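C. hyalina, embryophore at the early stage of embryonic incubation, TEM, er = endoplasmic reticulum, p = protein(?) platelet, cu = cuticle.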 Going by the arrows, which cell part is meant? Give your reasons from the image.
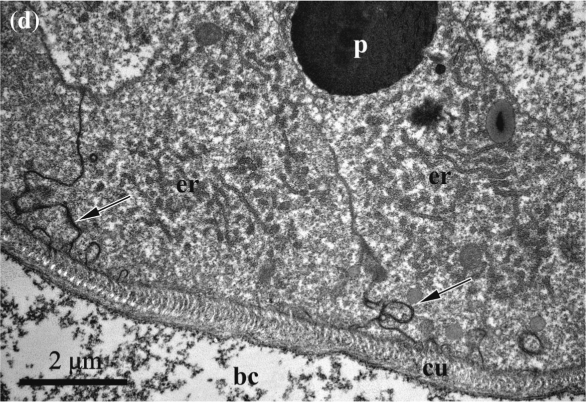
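The arrows point to wavy, looped membranes just beneath the cuticle. The folded membranes lie at the cell edge facing the cuticle. On this evidence: Apical infoldings.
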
